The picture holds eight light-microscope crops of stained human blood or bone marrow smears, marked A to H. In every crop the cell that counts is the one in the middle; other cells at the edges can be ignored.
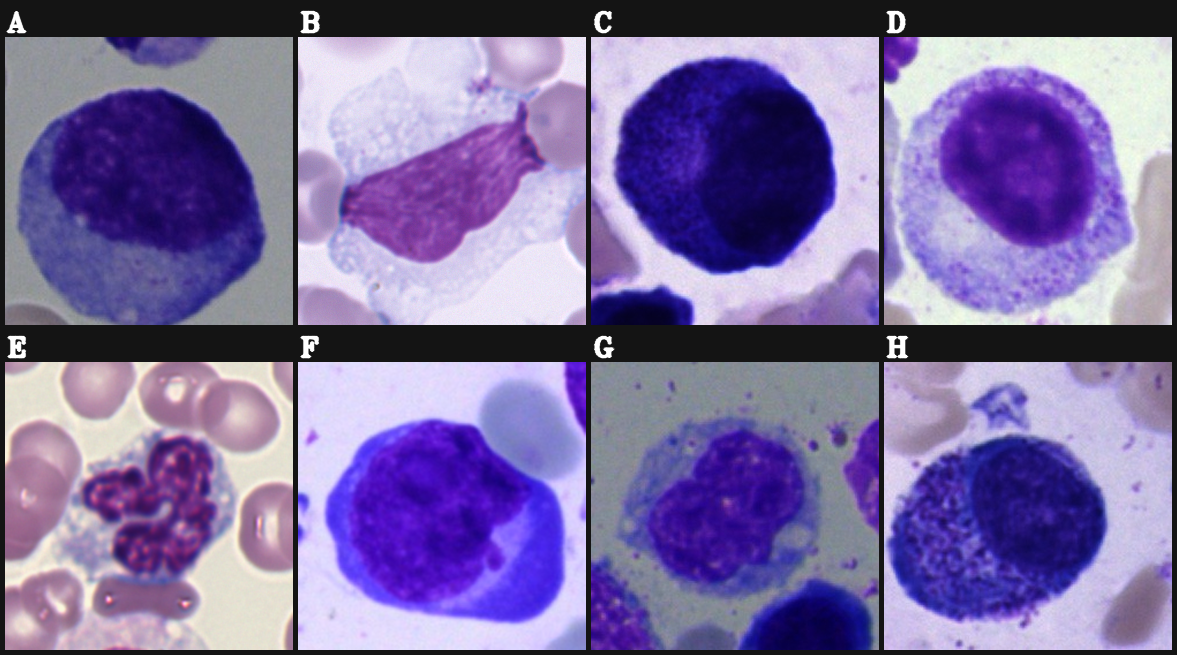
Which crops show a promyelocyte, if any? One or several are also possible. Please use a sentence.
The cells in the middle of crops A, C, D and H are promyelocytes.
